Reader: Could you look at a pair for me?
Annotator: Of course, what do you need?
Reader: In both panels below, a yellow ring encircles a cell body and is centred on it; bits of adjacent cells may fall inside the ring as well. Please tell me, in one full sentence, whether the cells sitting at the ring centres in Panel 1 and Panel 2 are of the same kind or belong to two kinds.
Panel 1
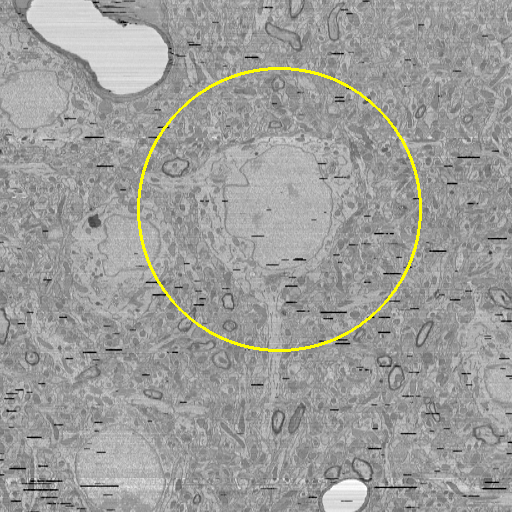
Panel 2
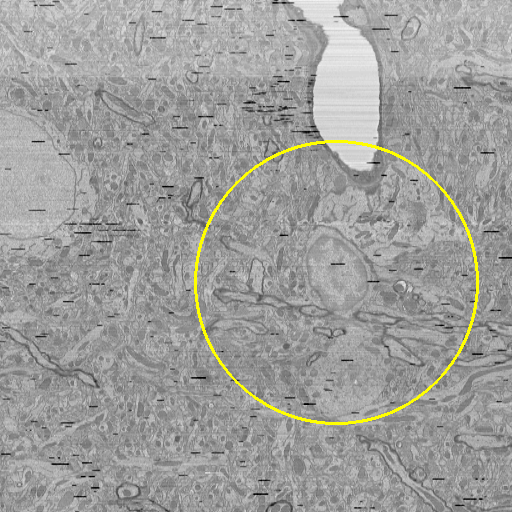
The cell at the ring's centre in Panel 1 and the one in Panel 2 belong to two kinds.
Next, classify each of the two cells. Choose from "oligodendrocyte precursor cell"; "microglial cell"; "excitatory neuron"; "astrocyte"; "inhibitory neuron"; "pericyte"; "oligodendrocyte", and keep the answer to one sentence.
In the first picture it is an excitatory neuron; in the second it is an oligodendrocyte.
